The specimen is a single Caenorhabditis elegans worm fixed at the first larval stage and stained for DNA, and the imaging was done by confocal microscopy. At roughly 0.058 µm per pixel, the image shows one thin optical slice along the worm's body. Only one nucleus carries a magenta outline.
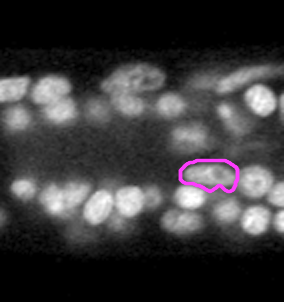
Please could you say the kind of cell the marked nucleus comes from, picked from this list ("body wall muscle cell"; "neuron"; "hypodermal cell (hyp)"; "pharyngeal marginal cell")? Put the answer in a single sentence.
The marked nucleus is that of a pharyngeal marginal cell.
